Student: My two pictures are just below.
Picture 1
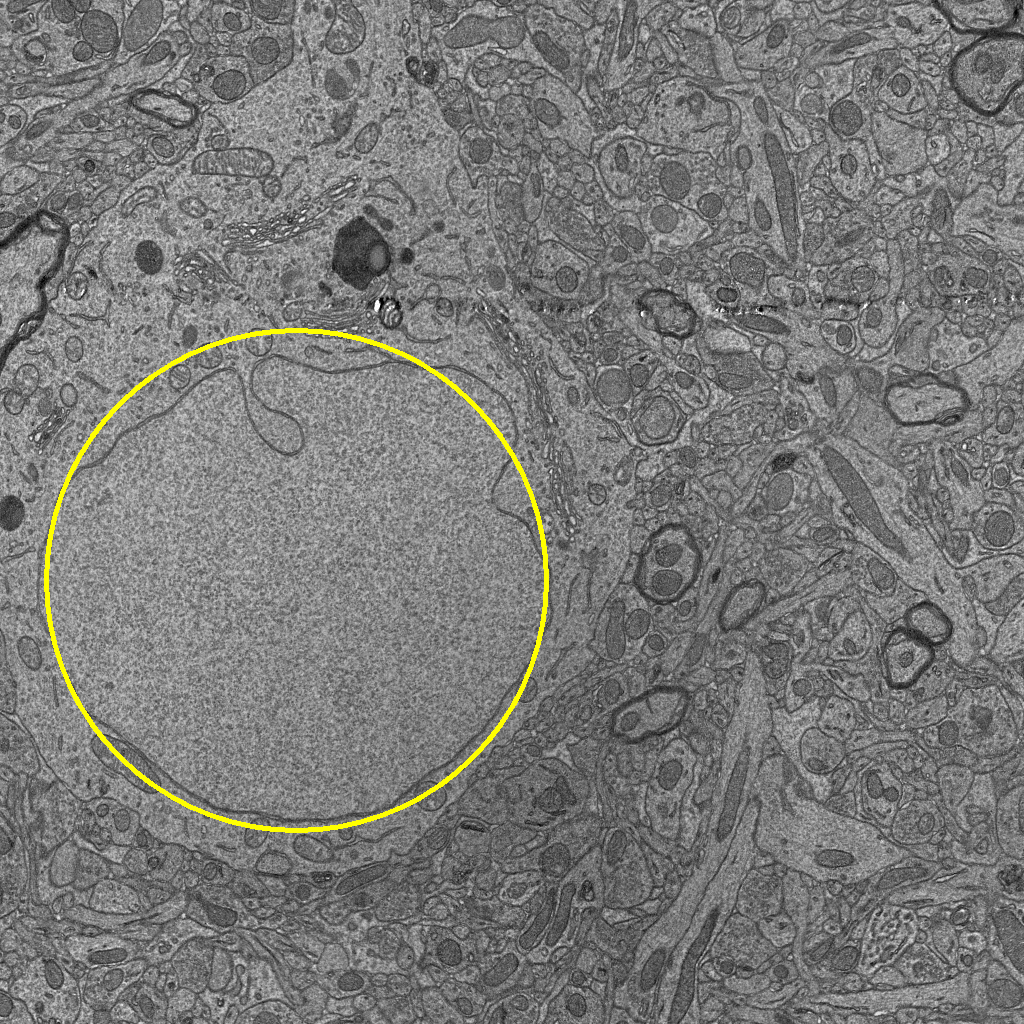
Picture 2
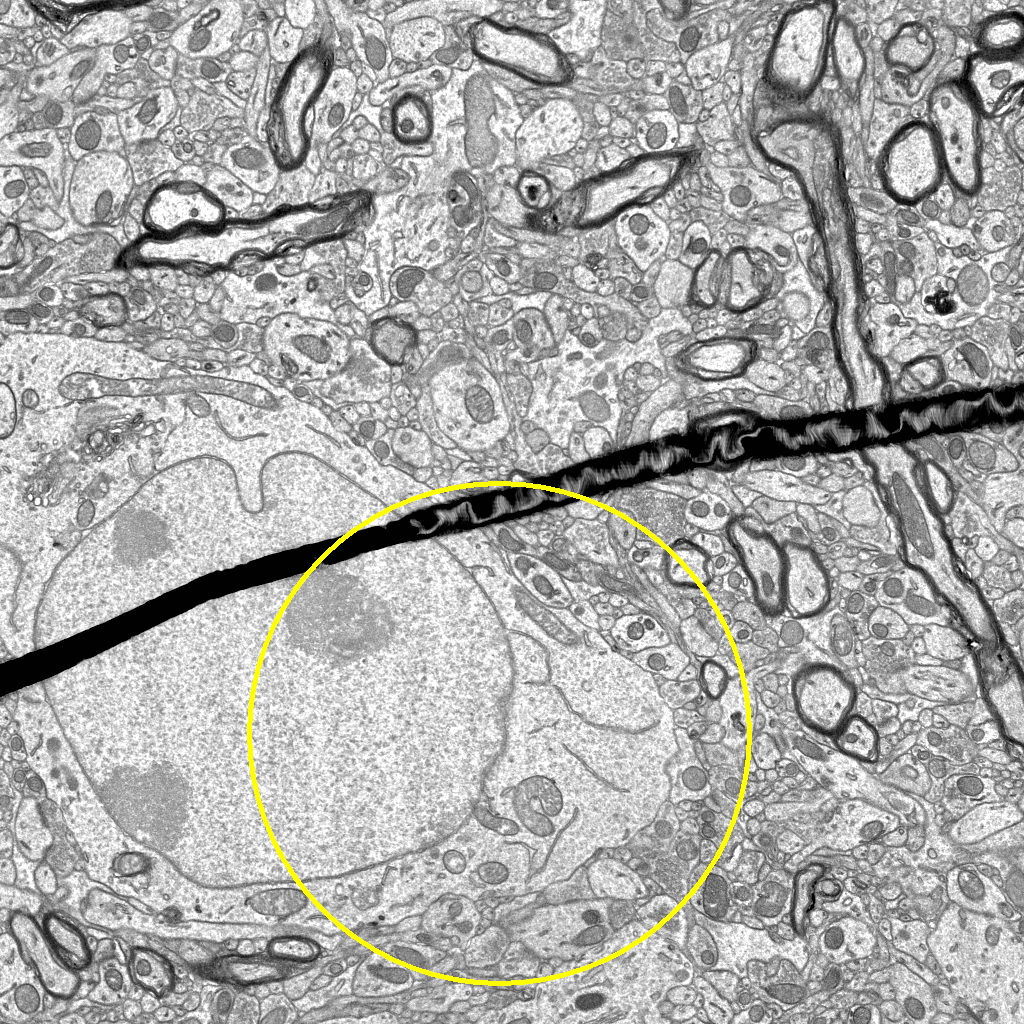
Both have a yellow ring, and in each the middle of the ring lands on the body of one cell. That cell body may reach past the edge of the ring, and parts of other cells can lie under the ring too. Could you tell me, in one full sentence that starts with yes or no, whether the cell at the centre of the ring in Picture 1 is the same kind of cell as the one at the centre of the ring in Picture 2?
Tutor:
No, the two cells are of two kinds.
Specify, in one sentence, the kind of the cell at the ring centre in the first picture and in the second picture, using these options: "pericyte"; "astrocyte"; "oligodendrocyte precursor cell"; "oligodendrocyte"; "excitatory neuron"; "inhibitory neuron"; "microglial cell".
The first cell is an excitatory neuron; the second is an oligodendrocyte.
